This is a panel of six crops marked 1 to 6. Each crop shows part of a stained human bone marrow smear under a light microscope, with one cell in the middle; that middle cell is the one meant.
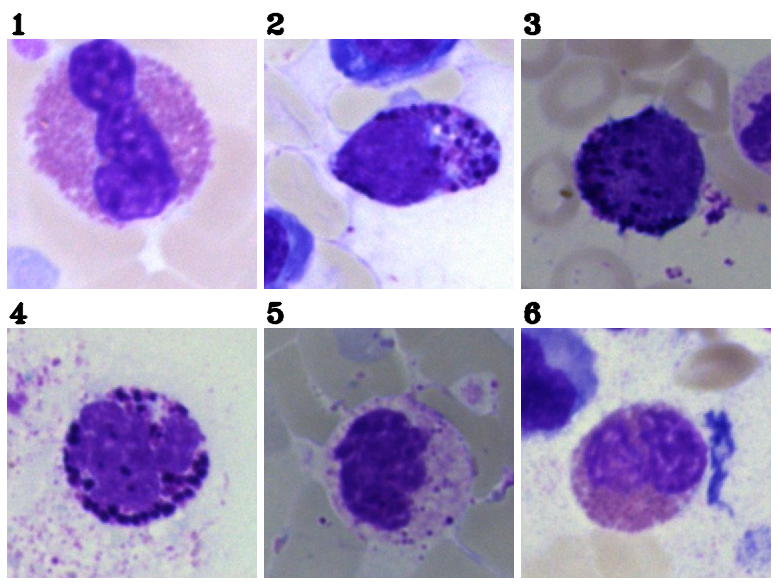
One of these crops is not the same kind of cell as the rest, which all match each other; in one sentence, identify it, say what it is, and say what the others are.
In contrast to the other crops, all of which show basophils, crop 1 shows an eosinophil.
